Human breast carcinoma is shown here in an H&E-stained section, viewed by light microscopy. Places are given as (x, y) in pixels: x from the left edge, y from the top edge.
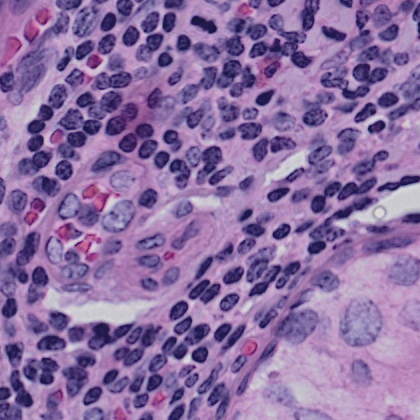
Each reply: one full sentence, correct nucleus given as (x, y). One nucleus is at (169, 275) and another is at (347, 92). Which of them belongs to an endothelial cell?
Of the pair, the nucleus positioned at (169, 275) is that of an endothelial cell.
